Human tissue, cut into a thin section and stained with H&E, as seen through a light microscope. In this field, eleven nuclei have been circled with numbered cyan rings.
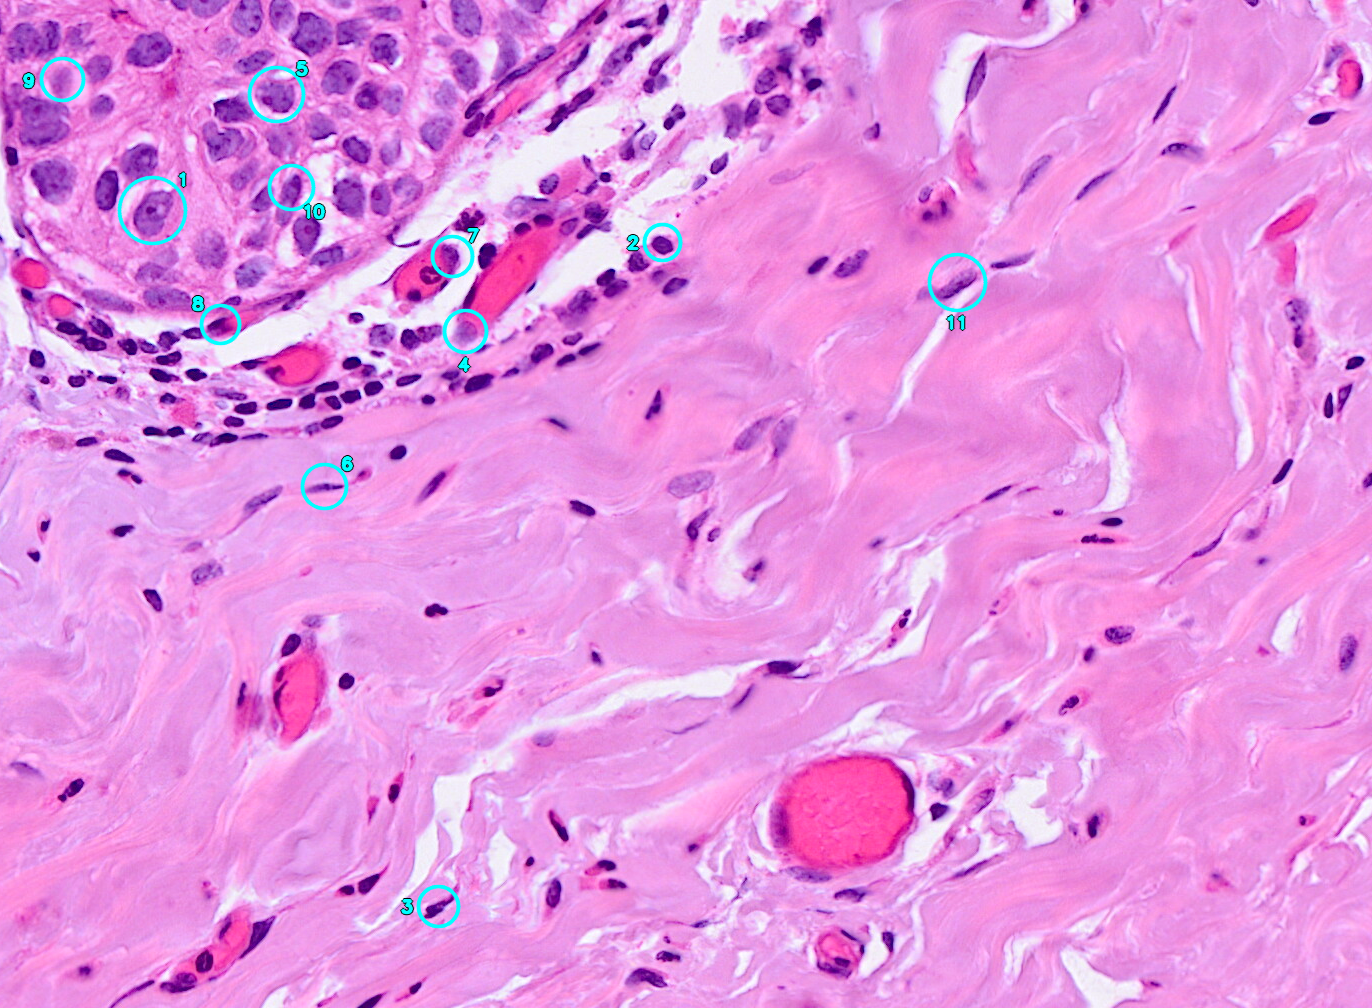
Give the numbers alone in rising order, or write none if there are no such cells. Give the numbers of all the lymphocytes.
2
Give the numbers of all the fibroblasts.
3, 6, 11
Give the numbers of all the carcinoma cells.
1, 5, 9, 10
